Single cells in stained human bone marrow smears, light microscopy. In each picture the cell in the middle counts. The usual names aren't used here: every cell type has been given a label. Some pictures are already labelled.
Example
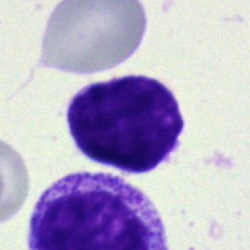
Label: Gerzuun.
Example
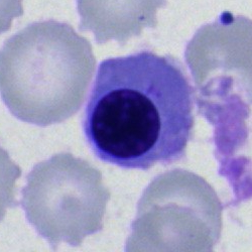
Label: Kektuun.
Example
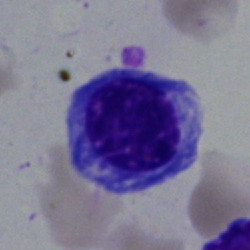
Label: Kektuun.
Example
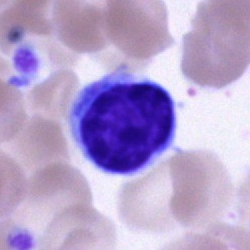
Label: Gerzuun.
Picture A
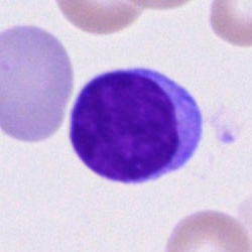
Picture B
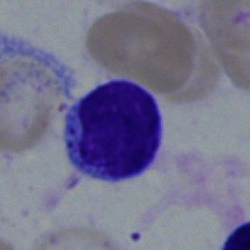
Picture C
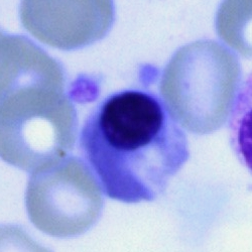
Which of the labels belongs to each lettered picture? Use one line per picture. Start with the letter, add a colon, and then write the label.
A: Gerzuun.
B: Gerzuun.
C: Kektuun.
